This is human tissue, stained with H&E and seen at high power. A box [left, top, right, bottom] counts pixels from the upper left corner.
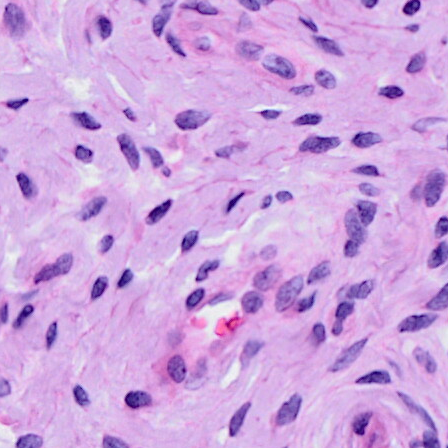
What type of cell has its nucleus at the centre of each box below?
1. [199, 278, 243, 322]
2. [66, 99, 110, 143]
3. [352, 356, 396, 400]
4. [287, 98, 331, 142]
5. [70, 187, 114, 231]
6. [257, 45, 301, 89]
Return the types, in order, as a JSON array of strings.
["endothelial cell", "fibroblast", "fibroblast", "fibroblast", "fibroblast", "endothelial cell"]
